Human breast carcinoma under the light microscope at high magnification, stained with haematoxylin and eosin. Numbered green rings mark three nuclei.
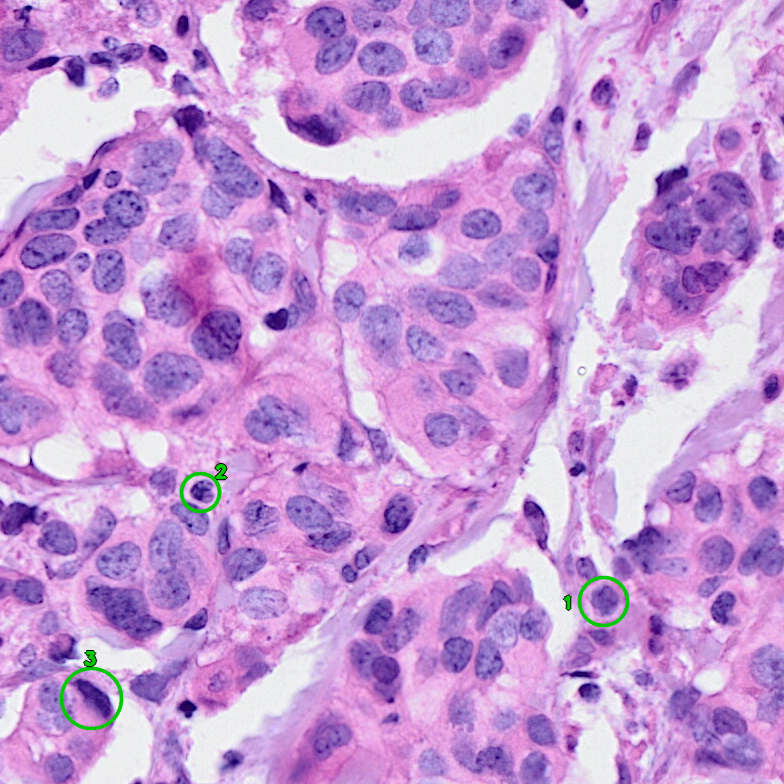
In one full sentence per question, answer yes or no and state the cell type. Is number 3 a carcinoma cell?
Yes, the cell that bears number 3 is a carcinoma cell.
